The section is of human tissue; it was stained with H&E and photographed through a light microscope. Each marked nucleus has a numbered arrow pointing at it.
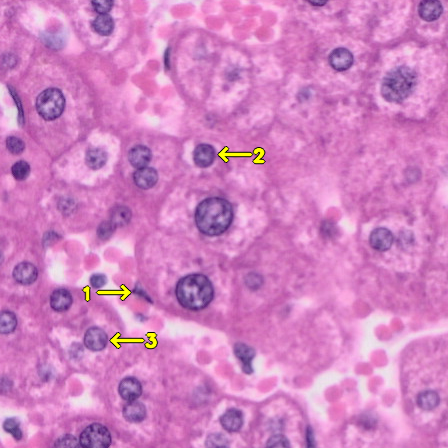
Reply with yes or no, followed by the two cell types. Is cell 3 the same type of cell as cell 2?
Yes, cells 3 and 2 both fall under hepatocytes.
